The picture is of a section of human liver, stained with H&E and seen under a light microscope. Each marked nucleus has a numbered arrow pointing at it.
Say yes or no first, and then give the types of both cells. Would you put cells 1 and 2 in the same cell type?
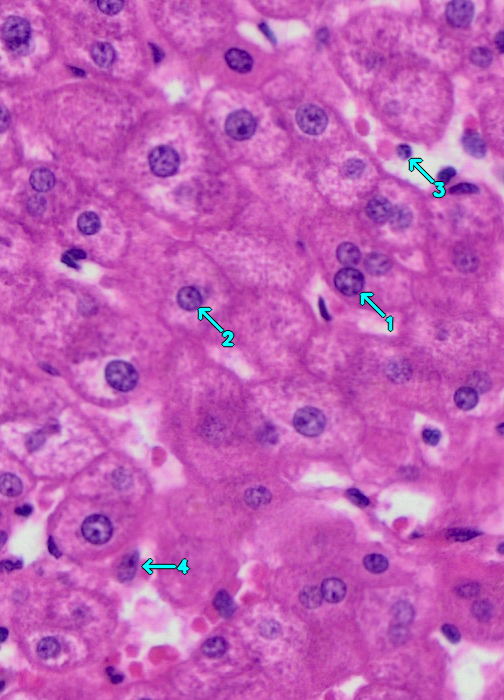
Yes, cell 1 is one of the hepatocytes, and so is cell 2.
